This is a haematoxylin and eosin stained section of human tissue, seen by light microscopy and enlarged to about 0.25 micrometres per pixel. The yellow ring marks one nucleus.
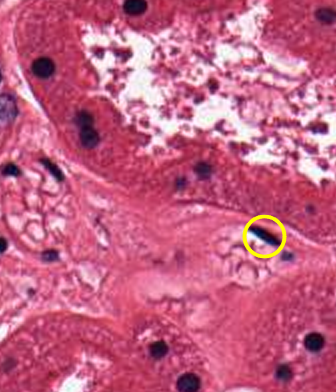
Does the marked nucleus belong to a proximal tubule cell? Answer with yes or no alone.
no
